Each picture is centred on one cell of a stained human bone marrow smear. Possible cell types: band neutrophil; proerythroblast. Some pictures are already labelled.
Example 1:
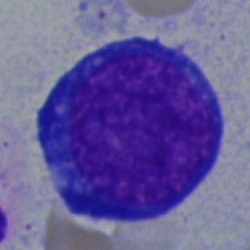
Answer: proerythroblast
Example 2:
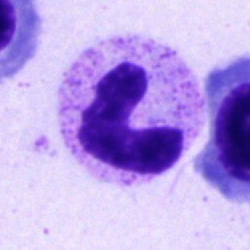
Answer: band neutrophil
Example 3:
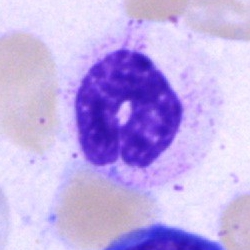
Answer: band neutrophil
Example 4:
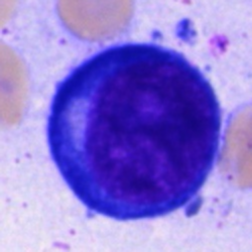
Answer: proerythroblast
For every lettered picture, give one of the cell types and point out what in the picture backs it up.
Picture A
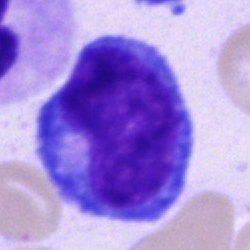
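proerythroblast. The nucleus fills most of the cell and has an indentation on its left side.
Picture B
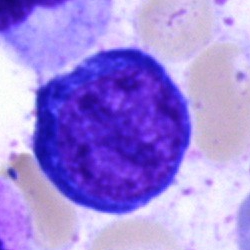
proerythroblast. The cytoplasm forms only a thin rim around the nucleus.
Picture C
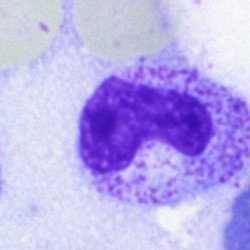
band neutrophil. Many small pink-violet granules are scattered through the cytoplasm, including within the nuclear indentation.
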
